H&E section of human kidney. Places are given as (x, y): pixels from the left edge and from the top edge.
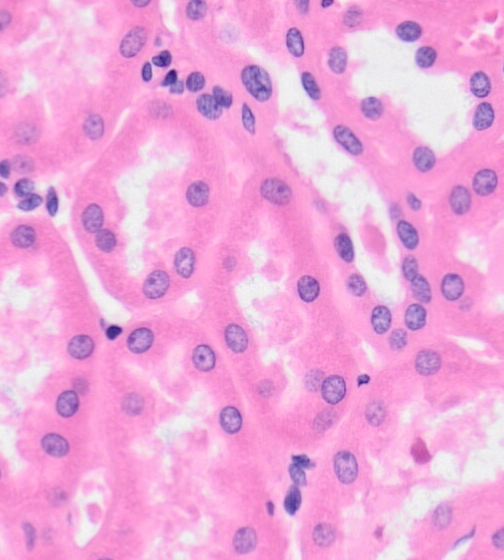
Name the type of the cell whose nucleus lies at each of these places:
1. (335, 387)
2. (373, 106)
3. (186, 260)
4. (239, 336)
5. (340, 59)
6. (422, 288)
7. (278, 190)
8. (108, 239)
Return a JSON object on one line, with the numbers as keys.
{"1": "proximal tubule cell", "2": "loop of Henle or distal tubule cell", "3": "proximal tubule cell", "4": "proximal tubule cell", "5": "loop of Henle or distal tubule cell", "6": "collecting duct cell", "7": "proximal tubule cell", "8": "proximal tubule cell"}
